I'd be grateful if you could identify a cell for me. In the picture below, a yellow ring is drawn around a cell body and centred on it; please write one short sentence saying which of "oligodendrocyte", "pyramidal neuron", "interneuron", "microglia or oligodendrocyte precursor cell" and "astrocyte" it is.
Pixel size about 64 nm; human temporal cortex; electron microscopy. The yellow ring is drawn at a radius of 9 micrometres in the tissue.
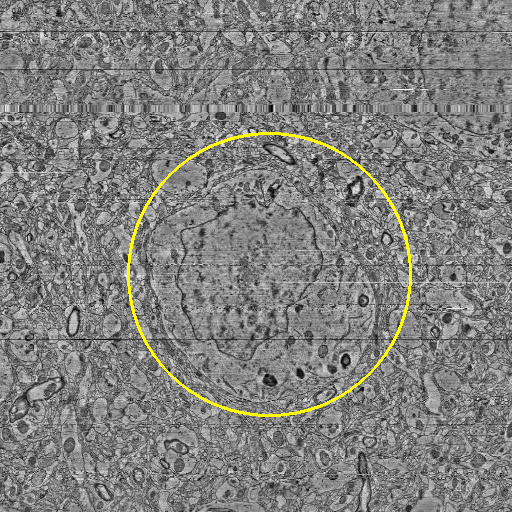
The cell under the ring's centre is a pyramidal neuron.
